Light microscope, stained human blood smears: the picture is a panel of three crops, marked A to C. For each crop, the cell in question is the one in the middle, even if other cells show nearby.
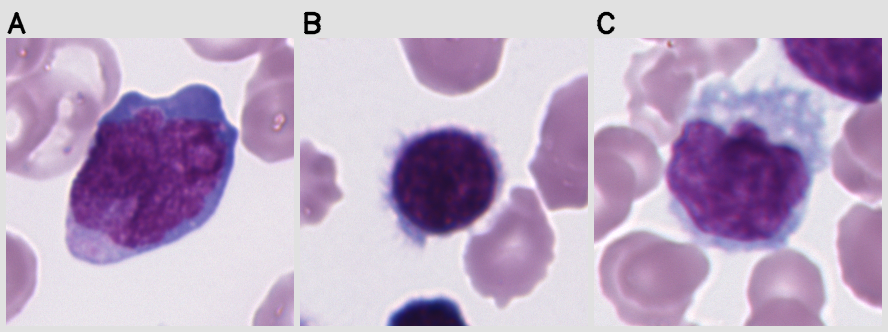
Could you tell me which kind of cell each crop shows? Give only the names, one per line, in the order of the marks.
myeloblast
hairy cell
hairy cell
